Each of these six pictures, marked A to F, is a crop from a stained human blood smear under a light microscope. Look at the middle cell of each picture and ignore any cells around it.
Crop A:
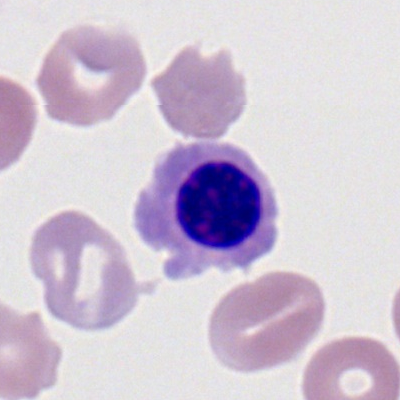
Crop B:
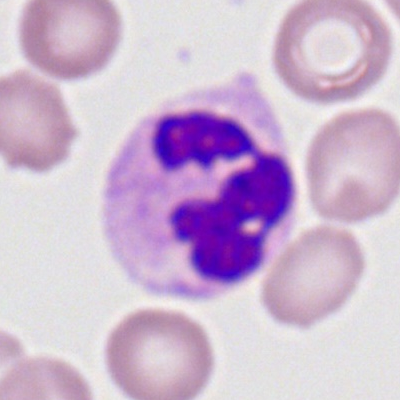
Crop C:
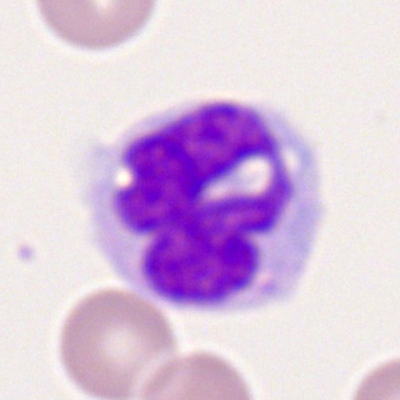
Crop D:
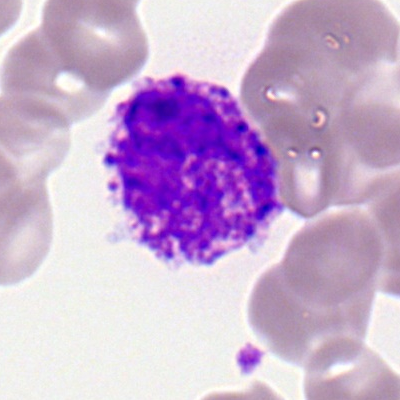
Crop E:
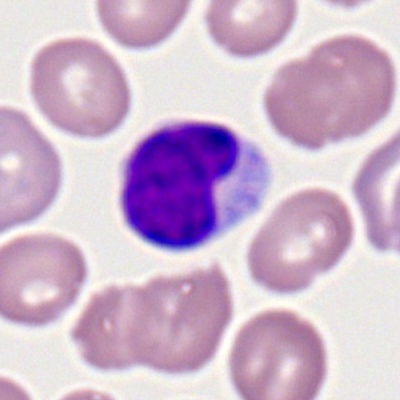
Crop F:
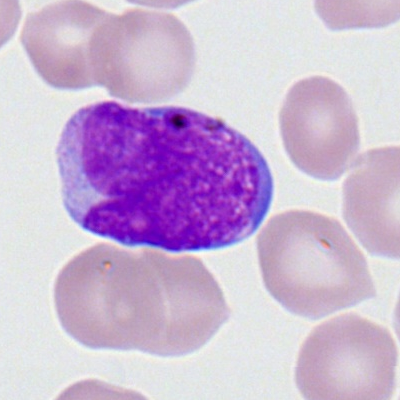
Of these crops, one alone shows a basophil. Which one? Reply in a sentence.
The cell at the center of crop D is the one that is a basophil.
